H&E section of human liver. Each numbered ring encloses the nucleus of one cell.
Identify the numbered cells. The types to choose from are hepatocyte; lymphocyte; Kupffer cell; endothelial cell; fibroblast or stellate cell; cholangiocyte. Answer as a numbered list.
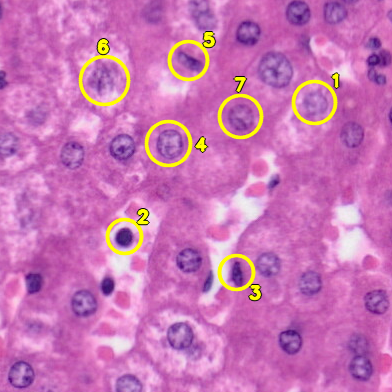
1. hepatocyte
2. lymphocyte
3. fibroblast or stellate cell
4. hepatocyte
5. fibroblast or stellate cell
6. hepatocyte
7. hepatocyte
